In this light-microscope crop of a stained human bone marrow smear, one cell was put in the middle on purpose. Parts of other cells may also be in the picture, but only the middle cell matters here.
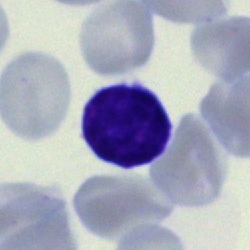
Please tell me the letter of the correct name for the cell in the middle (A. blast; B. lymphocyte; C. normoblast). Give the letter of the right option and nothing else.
B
